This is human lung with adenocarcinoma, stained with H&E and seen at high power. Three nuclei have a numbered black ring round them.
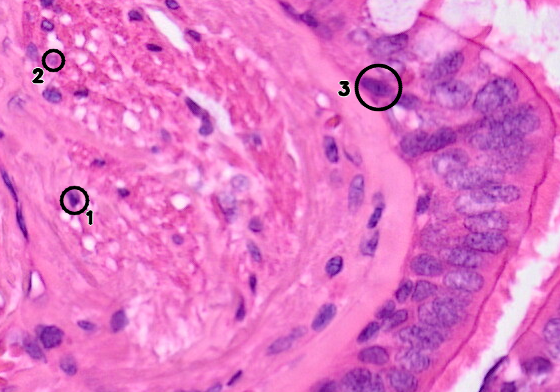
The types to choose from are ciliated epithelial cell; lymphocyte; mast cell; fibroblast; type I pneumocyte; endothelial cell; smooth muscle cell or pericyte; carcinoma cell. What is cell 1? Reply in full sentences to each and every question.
Among the marked cells, number 1 is a smooth muscle cell or pericyte.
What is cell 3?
The cell bearing label 3 corresponds to a ciliated epithelial cell.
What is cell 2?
Number 2 is placed on a smooth muscle cell or pericyte here.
